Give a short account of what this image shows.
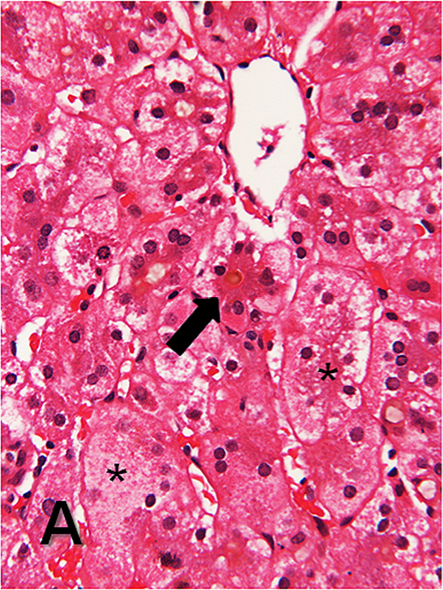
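This is liver parenchyma with hepatocytes, among which lie scattered hepatic giant cells. The giant cells are much larger than neighbouring hepatocytes and hold many round nuclei in a single pale pink, finely granular cytoplasm. Small yellow-brown plugs of bile lie between hepatocytes, showing canalicular cholestasis. The surrounding hepatocytes have pink, somewhat vacuolated cytoplasm and round central nuclei, and the normal plate arrangement is disturbed. A thin-walled, empty vessel runs through the upper part of the field.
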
